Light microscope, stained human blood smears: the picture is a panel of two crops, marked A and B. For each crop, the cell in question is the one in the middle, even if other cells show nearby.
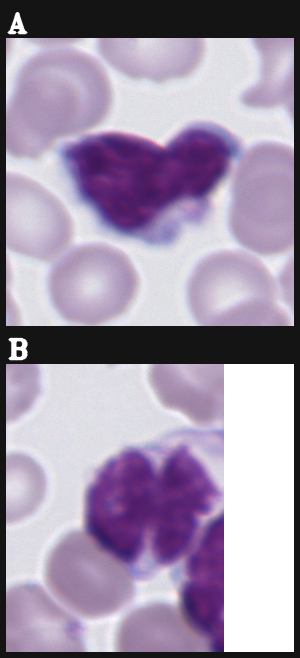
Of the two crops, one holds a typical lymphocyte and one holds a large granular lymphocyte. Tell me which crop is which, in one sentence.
The cell centred in crop A is a typical lymphocyte, and the one centred in crop B is a large granular lymphocyte.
